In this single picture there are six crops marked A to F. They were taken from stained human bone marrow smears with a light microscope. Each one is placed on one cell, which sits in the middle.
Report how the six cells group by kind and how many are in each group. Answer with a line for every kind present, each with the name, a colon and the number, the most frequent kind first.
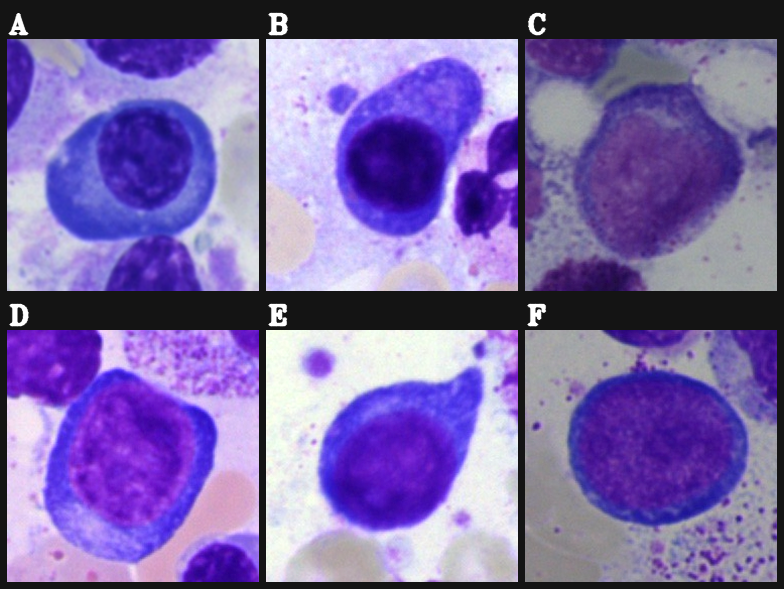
proerythroblast: 4
plasma cell: 2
